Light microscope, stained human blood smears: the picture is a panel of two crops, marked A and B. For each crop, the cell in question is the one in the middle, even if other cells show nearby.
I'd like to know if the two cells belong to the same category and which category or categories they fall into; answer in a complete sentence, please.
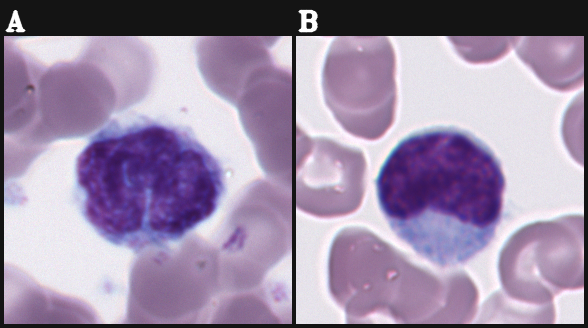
Yes, the cells placed at the centre of both crops are monocytes.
